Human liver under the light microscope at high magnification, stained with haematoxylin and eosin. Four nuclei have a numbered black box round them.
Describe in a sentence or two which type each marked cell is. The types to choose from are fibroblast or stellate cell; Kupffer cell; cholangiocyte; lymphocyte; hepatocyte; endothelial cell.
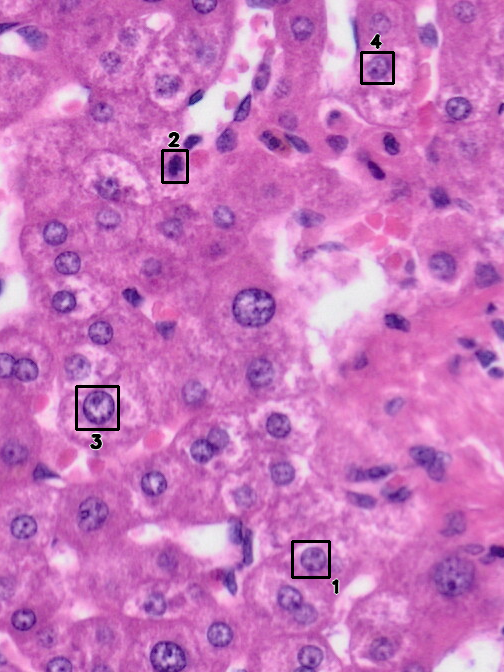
Cell 1 is a hepatocyte, cell 2 is a fibroblast or stellate cell, cell 3 is a hepatocyte and cell 4 is a hepatocyte.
